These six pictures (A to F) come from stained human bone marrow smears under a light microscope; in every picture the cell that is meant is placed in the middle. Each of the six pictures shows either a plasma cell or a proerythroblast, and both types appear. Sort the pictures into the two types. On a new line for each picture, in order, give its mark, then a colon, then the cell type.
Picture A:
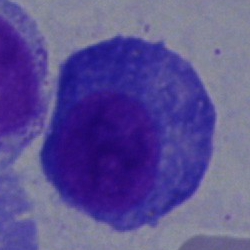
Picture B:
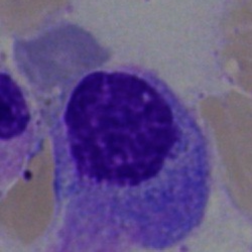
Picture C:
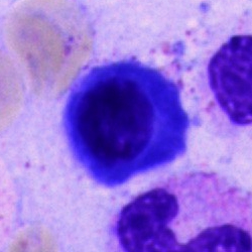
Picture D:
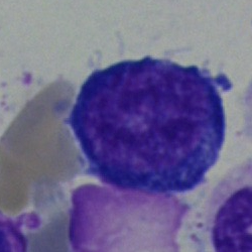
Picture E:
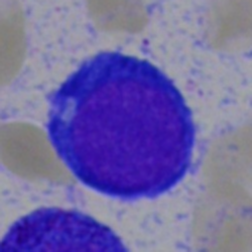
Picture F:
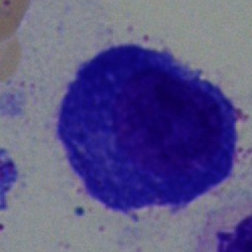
A: plasma cell
B: plasma cell
C: plasma cell
D: proerythroblast
E: proerythroblast
F: plasma cell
